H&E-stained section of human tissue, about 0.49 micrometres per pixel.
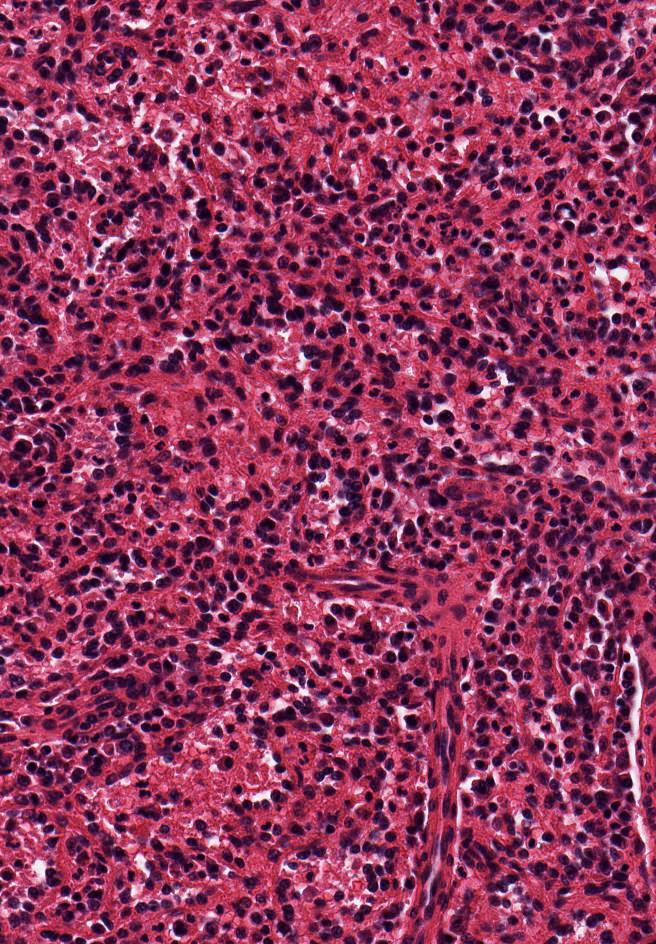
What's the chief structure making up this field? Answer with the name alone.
red pulp of the spleen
